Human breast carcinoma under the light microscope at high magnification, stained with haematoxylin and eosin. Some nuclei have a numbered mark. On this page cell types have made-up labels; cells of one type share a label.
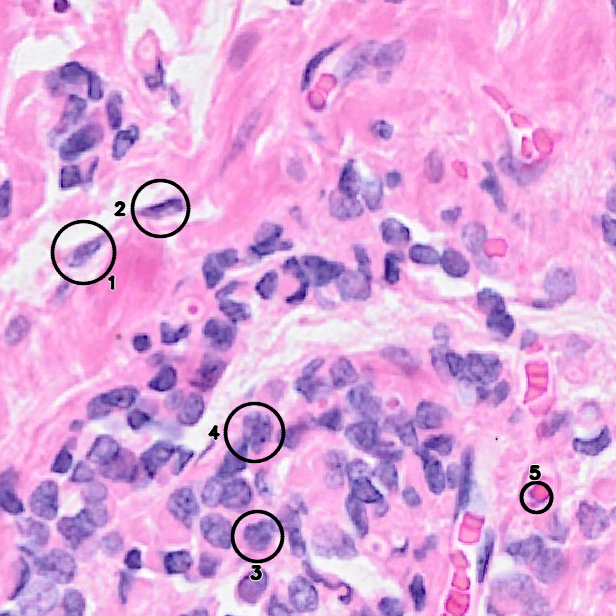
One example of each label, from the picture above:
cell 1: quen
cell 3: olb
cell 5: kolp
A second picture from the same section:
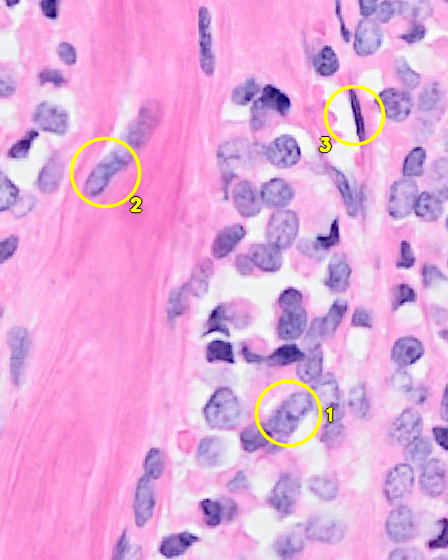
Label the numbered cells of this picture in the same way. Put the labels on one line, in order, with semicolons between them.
olb; quen; kolp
